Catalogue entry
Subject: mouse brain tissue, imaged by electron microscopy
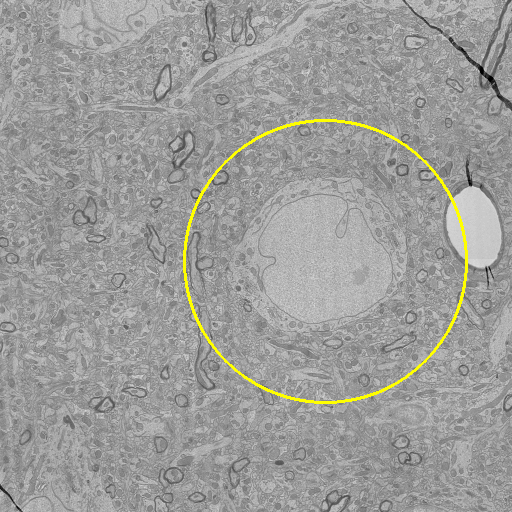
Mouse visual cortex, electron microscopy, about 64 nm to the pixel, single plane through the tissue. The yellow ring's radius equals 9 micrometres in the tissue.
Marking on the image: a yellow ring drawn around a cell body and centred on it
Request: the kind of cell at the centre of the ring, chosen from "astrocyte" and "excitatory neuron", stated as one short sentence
The ring has an excitatory neuron at its centre.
